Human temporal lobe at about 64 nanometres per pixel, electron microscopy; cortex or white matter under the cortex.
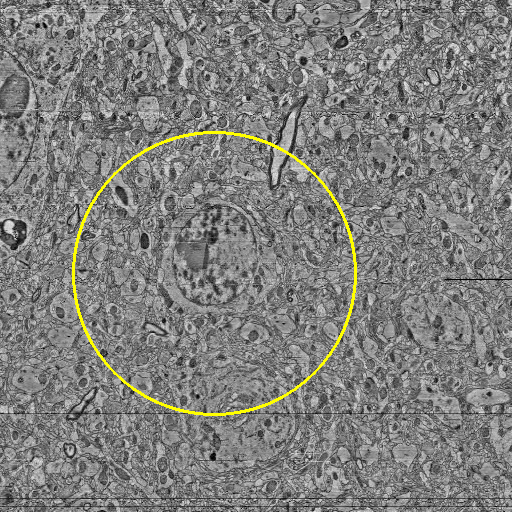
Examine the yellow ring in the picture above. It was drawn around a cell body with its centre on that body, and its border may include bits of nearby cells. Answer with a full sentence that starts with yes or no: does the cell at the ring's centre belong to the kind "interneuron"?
Yes, the cell at the heart of the ring shown in the image is of that kind.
